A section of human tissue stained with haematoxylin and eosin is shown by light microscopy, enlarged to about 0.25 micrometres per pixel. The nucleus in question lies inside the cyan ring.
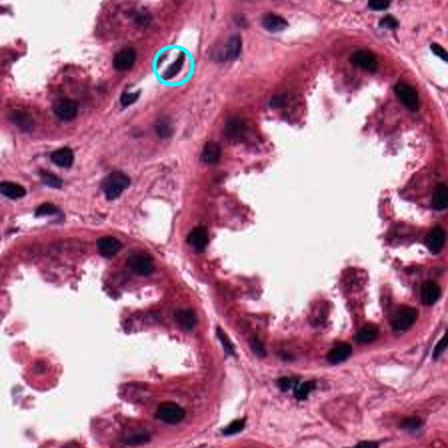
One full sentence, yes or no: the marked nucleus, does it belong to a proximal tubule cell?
No, what the marked nucleus belongs to is a supporting cell, not a proximal tubule cell.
